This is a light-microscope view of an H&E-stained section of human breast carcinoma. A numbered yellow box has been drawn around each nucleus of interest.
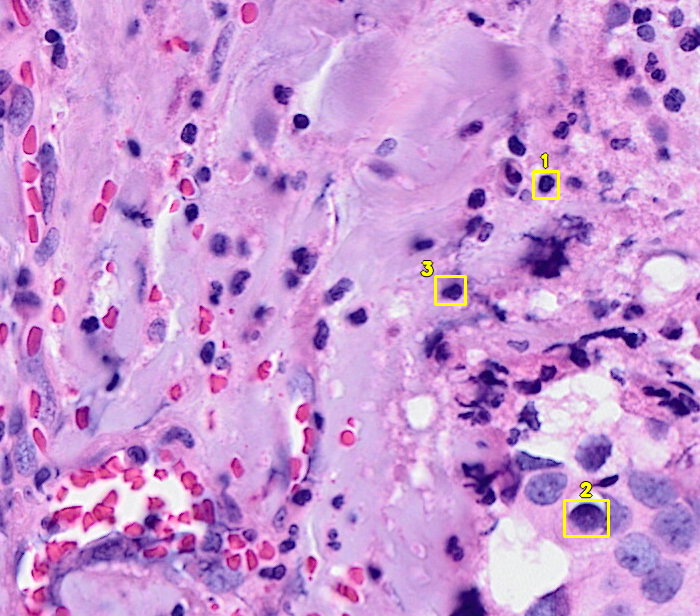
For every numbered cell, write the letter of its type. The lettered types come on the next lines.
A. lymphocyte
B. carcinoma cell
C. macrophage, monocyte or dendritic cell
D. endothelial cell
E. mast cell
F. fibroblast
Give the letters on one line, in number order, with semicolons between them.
A; B; A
